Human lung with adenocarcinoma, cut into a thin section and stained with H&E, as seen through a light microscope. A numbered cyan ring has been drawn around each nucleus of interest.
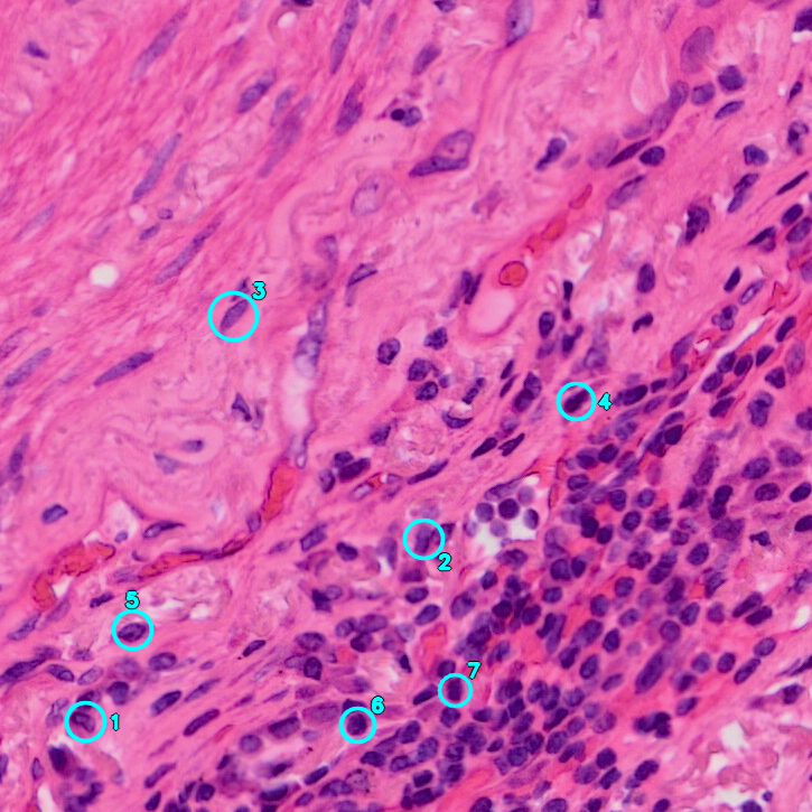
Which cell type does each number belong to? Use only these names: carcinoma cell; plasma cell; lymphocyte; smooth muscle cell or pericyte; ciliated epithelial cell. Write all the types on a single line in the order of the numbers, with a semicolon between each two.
plasma cell; plasma cell; smooth muscle cell or pericyte; plasma cell; plasma cell; lymphocyte; lymphocyte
